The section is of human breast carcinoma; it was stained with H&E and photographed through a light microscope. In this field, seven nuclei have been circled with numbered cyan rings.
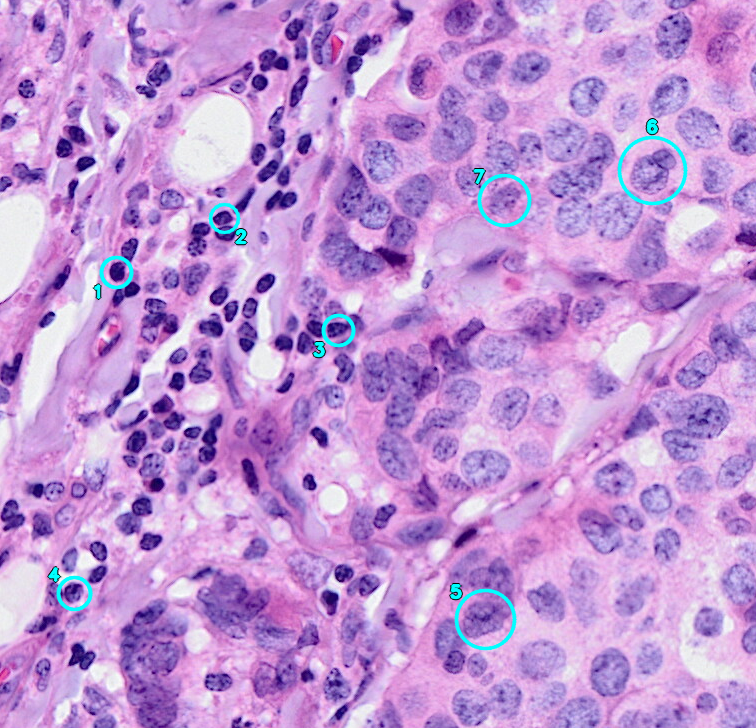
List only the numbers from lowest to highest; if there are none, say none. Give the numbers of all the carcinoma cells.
5, 6, 7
